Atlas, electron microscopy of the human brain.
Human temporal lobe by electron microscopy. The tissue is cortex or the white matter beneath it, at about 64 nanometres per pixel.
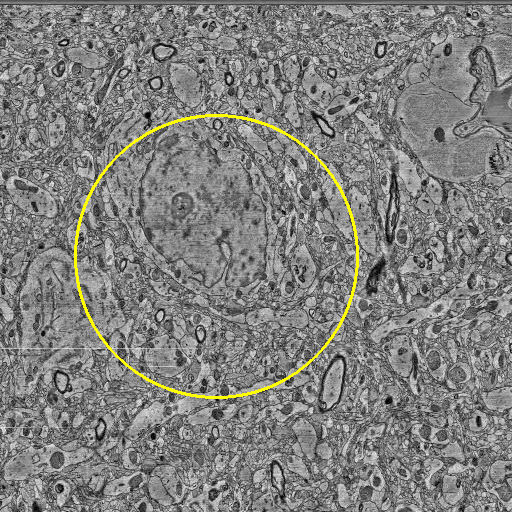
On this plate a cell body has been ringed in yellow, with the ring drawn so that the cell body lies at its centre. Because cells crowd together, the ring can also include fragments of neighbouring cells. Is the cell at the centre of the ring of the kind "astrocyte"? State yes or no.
No, it is of another kind.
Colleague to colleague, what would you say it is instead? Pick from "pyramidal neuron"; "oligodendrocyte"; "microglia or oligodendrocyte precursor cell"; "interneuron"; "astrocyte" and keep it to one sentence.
Sitting at the ring centre is an interneuron.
